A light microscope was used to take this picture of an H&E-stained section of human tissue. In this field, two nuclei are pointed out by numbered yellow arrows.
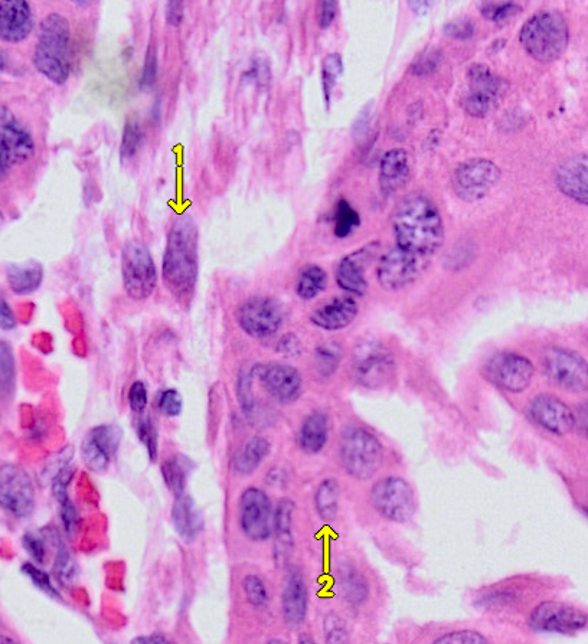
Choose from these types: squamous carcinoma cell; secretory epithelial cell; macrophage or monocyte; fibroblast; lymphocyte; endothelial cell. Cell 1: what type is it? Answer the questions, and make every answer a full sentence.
Belonging to a fibroblast is the nucleus that carries the number 1.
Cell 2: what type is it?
Cell 2 should be recorded as a squamous carcinoma cell.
